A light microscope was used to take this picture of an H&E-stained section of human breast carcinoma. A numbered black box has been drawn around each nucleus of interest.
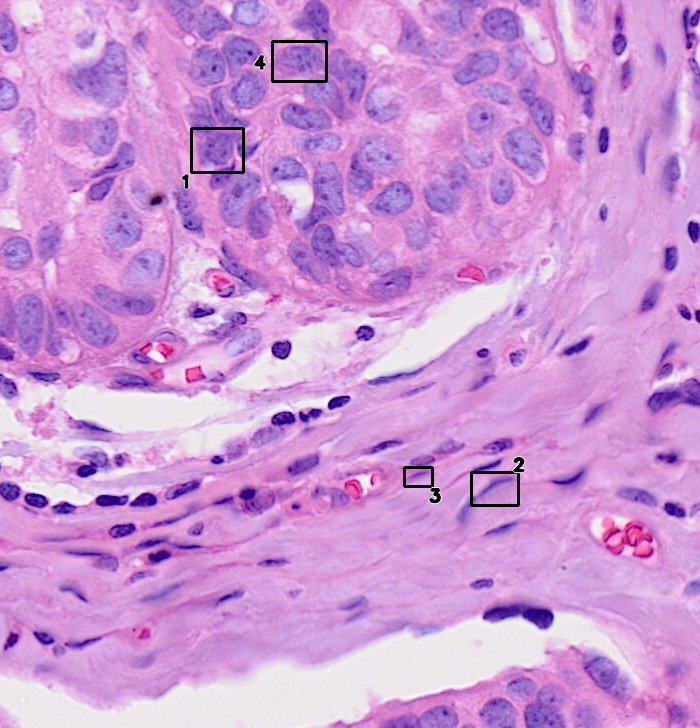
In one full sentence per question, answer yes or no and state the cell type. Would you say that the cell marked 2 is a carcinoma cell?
No, for cell 2, the correct identification is a fibroblast instead of a carcinoma cell.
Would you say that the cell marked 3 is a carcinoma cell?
No, the cell under number 3 is a fibroblast, not a carcinoma cell.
